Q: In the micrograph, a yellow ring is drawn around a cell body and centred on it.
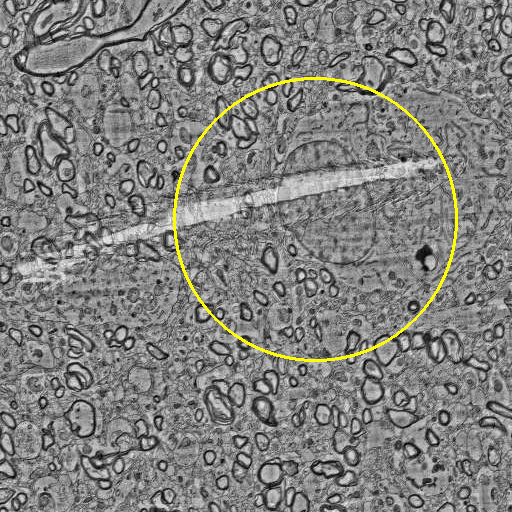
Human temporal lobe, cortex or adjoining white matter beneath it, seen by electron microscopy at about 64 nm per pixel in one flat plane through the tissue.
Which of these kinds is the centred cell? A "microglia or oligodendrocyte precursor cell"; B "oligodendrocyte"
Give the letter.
A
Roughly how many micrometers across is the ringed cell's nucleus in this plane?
Roughly 8 micrometres by 6 micrometres, in this plane.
